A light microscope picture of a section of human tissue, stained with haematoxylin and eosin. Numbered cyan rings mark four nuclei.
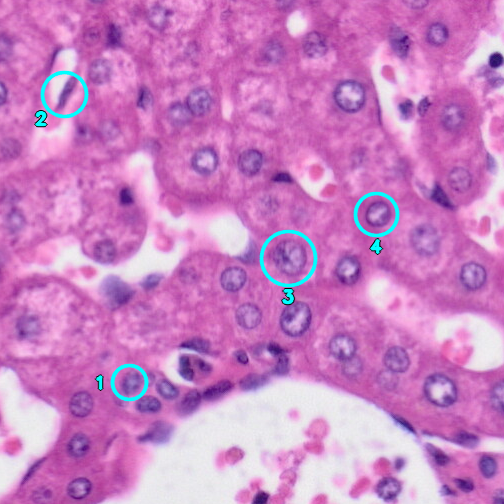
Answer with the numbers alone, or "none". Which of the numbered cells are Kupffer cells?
2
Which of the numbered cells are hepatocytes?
3, 4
